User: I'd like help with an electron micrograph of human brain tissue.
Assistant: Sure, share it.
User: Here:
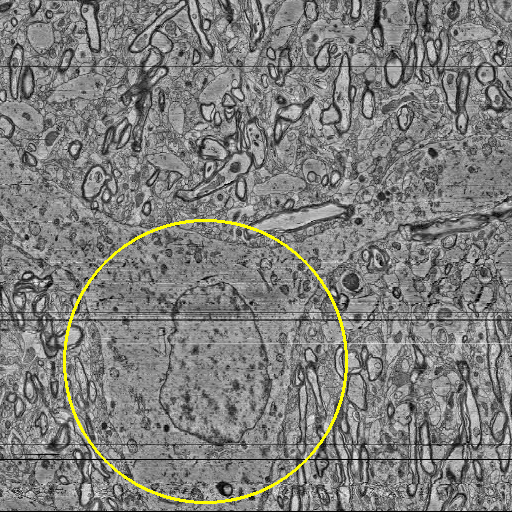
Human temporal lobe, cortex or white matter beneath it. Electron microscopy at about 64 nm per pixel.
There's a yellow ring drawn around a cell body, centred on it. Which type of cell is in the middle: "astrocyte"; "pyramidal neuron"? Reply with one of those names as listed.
pyramidal neuron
